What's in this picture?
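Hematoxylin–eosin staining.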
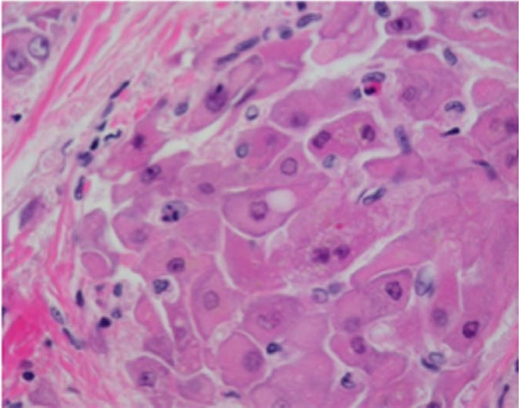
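Large polygonal tumor cells lie in a sheet bordered at the left by pink collagen fibers with thin dark spindle-shaped nuclei. The tumor cells have abundant eosinophilic granular cytoplasm and enlarged round nuclei, many with a distinct nucleolus.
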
